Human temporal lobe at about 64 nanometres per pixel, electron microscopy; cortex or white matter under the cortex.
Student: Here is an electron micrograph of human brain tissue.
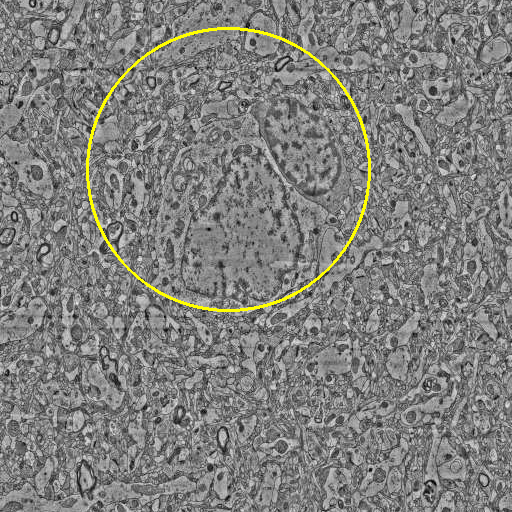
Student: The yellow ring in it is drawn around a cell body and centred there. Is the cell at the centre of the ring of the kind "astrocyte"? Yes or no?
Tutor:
no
